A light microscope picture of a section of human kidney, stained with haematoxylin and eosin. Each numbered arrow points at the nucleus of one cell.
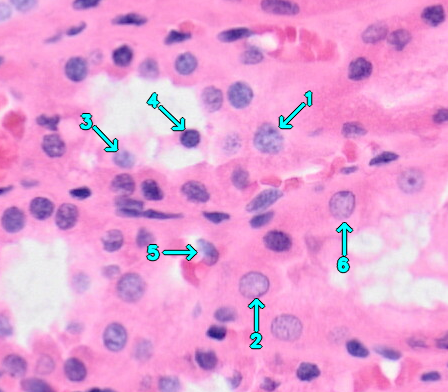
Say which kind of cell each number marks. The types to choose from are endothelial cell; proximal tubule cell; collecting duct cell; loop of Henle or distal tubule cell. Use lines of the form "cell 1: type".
cell 1: loop of Henle or distal tubule cell
cell 2: proximal tubule cell
cell 3: loop of Henle or distal tubule cell
cell 4: loop of Henle or distal tubule cell
cell 5: endothelial cell
cell 6: proximal tubule cell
